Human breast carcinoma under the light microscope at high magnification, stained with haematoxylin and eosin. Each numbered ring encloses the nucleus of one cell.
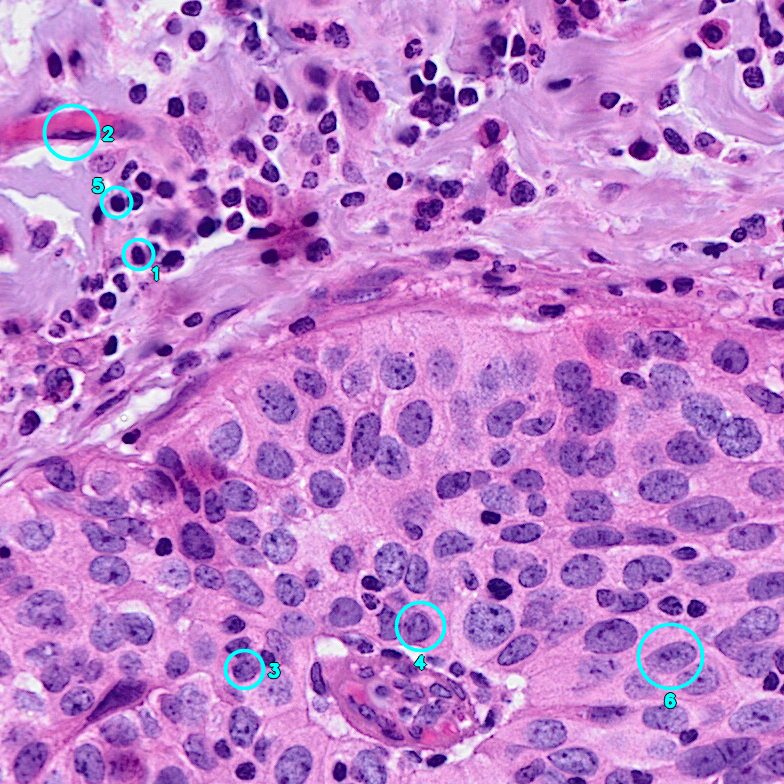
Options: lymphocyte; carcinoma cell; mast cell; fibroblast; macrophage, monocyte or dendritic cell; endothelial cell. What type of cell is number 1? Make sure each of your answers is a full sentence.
The nucleus marked 1 is the nucleus of a lymphocyte.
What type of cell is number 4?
Among the marked cells, number 4 is a carcinoma cell.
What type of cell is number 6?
Nucleus 6 in this section belongs to a carcinoma cell.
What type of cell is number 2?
The cell bearing label 2 corresponds to an endothelial cell.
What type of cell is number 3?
The cell that bears the number 3 is a carcinoma cell.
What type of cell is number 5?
Numbered cell 5 is a lymphocyte in this tissue section.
